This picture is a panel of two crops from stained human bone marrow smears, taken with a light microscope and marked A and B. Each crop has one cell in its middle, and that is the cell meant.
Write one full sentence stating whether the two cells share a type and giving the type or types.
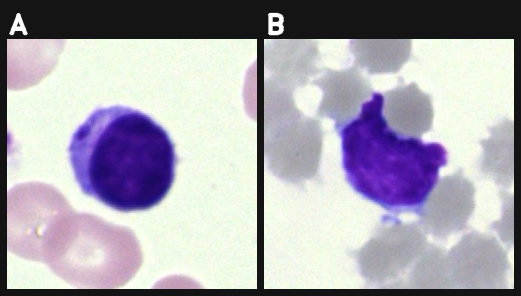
Yes, the middle cells in both crops are indeed lymphocytes.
